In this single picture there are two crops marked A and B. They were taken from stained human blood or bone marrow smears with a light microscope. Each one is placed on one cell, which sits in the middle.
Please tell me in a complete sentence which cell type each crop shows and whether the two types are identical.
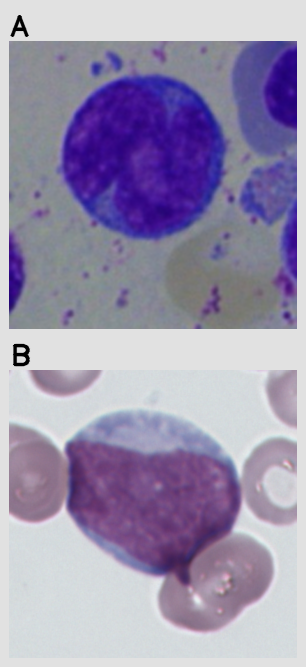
Yes, blasts are at the centre in both crops.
